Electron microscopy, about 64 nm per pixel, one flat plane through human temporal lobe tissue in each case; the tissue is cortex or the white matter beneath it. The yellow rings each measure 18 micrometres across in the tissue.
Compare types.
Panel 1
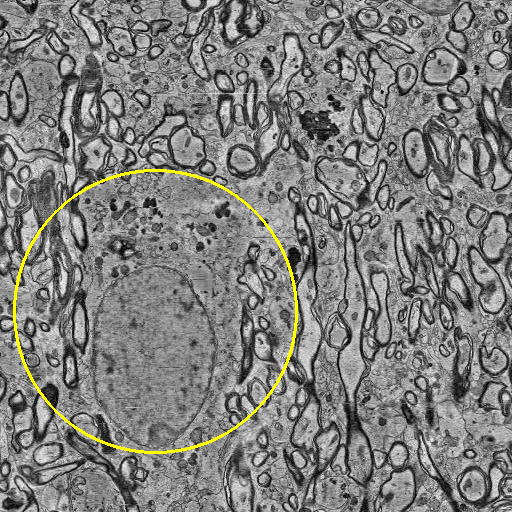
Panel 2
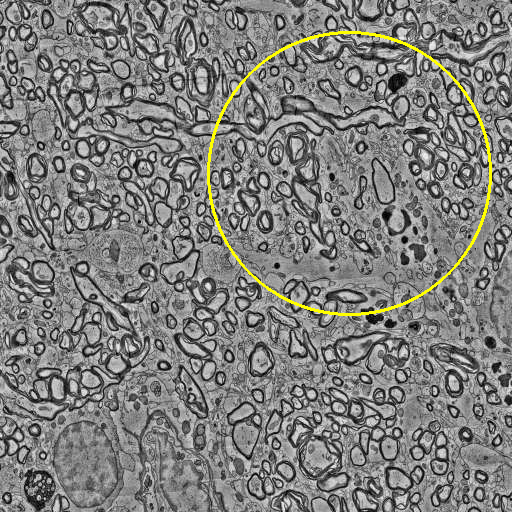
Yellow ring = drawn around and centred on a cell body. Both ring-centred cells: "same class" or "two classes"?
two classes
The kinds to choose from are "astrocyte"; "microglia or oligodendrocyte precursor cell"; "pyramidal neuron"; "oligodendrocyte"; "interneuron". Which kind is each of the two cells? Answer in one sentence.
Of the two, the first cell is an astrocyte and the second cell is an oligodendrocyte.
